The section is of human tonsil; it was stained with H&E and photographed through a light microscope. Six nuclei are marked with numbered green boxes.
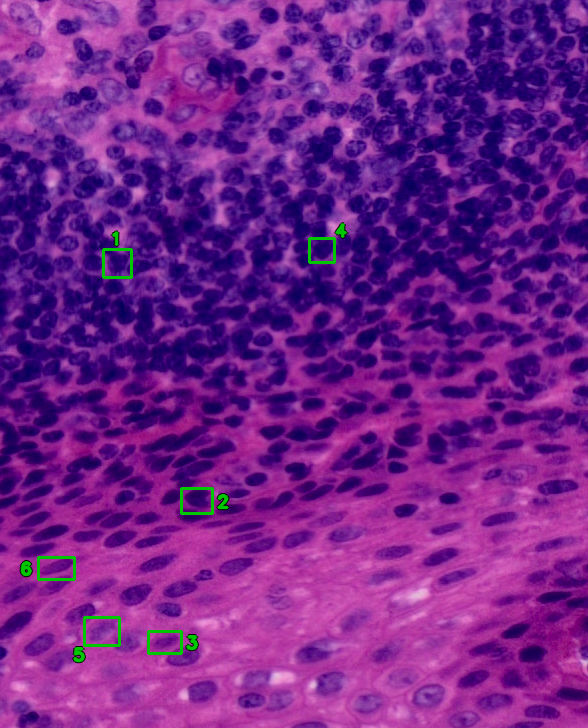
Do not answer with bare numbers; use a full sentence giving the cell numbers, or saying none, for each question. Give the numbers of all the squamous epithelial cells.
Here, the cells that carry numbers 2, 3, 5 and 6 are squamous epithelial cells.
